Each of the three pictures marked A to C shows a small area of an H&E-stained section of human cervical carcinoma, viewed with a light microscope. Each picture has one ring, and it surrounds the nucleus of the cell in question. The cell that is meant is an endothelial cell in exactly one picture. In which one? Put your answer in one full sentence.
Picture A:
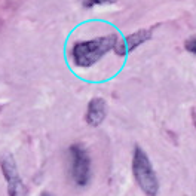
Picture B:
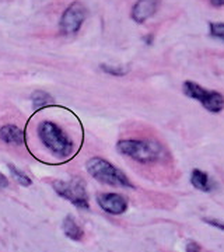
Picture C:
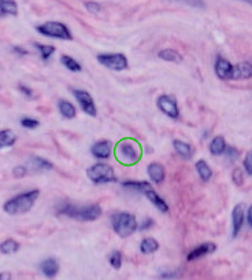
Picture B shows the endothelial cell.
